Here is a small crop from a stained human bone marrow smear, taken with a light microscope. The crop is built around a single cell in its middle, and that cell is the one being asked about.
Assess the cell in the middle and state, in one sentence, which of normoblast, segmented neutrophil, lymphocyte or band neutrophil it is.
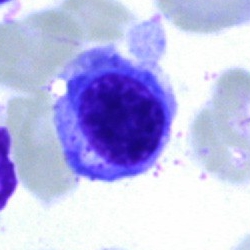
The central cell, amid any neighbouring cells, is a normoblast.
